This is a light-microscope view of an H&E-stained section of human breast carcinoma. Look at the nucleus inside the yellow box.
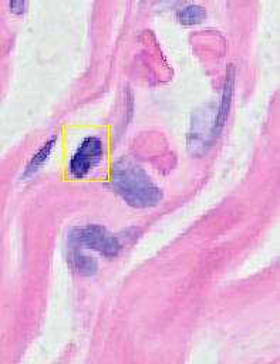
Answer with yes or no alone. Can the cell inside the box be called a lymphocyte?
yes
